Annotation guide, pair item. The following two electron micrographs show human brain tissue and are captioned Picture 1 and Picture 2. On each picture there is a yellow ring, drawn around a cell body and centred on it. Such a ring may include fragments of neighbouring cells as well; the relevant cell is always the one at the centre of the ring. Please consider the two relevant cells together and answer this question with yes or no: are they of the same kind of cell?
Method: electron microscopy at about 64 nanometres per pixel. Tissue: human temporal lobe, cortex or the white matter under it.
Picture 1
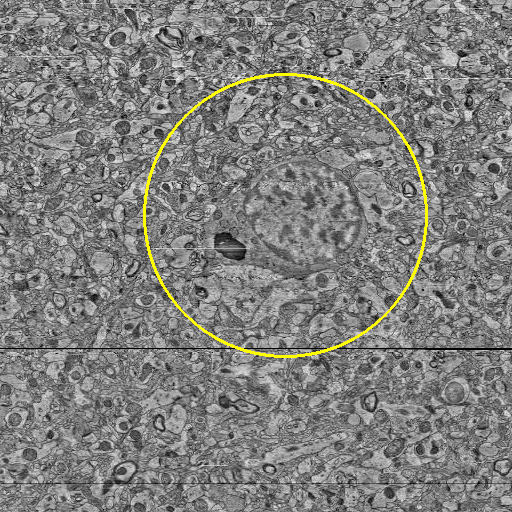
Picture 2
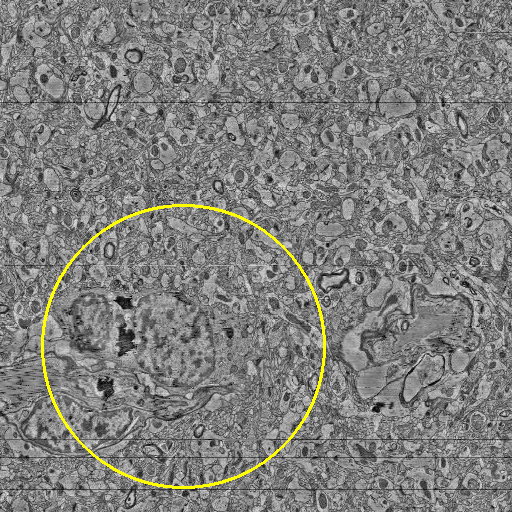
yes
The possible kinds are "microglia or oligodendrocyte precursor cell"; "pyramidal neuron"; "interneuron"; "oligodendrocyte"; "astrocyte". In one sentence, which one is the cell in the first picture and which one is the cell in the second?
Both the first and the second picture show an oligodendrocyte in the ring.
